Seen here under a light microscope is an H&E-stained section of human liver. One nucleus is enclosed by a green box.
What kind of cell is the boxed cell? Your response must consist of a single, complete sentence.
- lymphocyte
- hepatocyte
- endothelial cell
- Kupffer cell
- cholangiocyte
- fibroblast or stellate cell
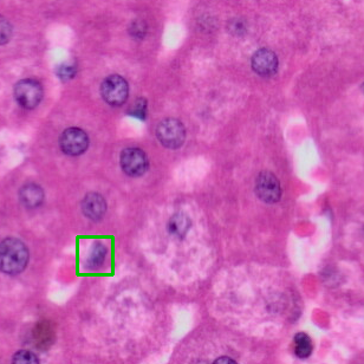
In this section of tissue, the boxed cell is an endothelial cell.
